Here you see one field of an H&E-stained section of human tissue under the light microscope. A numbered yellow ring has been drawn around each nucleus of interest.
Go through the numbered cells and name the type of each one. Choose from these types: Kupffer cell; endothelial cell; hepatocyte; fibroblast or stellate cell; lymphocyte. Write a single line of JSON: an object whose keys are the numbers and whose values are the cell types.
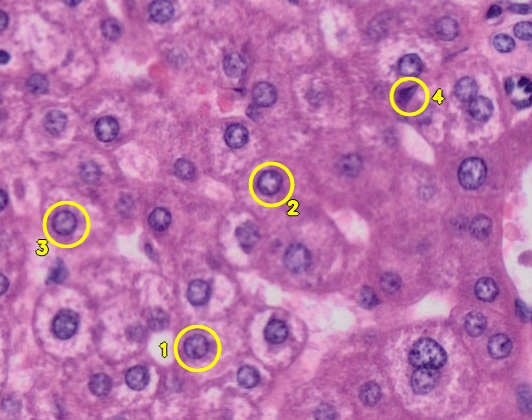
{"1": "hepatocyte", "2": "hepatocyte", "3": "hepatocyte", "4": "fibroblast or stellate cell"}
